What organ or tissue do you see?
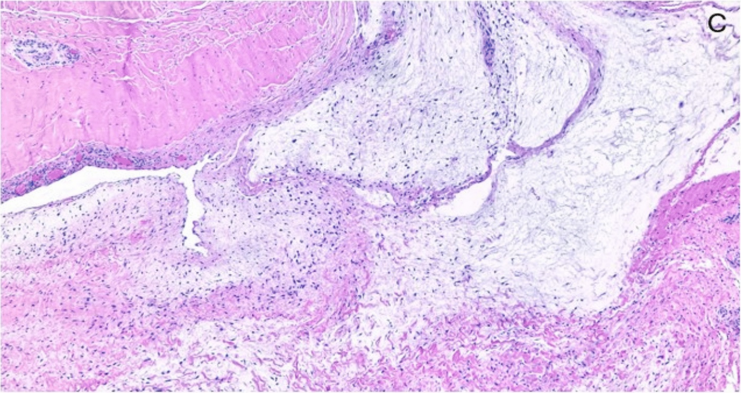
Lobules of fibromyxoid stroma.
